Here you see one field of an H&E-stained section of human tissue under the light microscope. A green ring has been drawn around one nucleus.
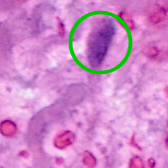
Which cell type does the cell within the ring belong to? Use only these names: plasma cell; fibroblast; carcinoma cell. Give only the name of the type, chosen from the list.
fibroblast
